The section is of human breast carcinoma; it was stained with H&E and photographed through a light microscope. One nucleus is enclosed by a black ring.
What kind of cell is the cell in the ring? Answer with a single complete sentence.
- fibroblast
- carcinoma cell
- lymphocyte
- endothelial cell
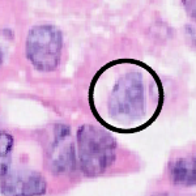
The cell in the ring appears to be a carcinoma cell.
